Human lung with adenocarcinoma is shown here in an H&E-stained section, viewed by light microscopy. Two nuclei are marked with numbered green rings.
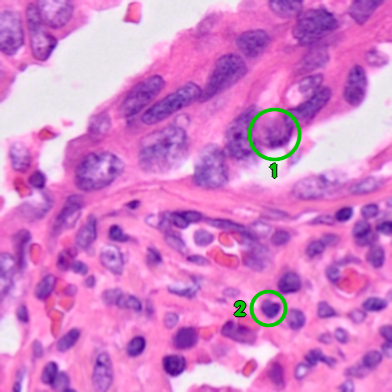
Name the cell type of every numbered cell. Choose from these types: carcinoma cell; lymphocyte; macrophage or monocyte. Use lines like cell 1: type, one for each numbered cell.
cell 1: carcinoma cell
cell 2: lymphocyte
